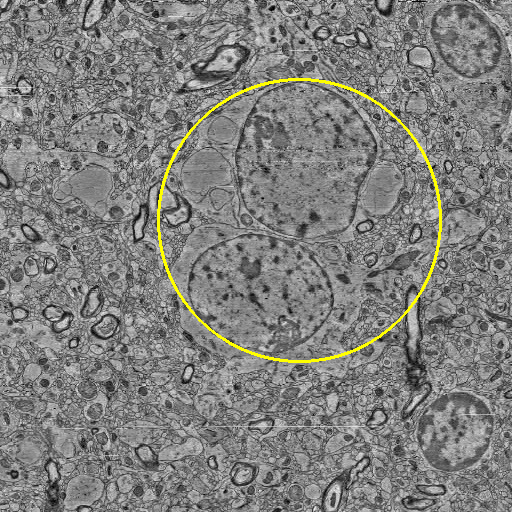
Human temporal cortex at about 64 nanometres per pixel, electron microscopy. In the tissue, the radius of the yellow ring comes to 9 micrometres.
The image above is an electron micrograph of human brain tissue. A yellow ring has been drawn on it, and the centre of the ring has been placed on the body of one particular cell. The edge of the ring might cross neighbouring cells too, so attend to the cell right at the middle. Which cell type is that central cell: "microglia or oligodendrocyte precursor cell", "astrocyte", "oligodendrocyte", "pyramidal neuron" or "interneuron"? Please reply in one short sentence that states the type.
The central cell in the ring is an astrocyte.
